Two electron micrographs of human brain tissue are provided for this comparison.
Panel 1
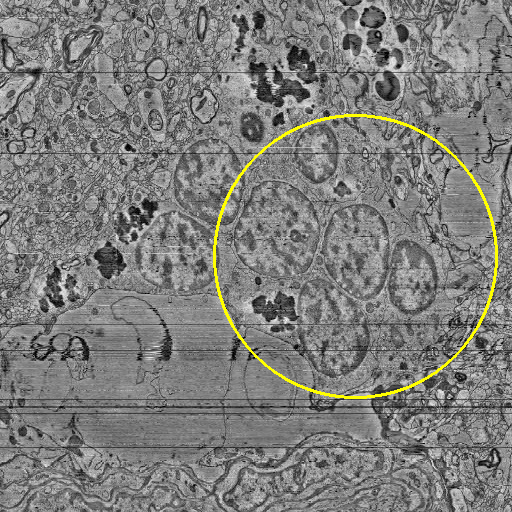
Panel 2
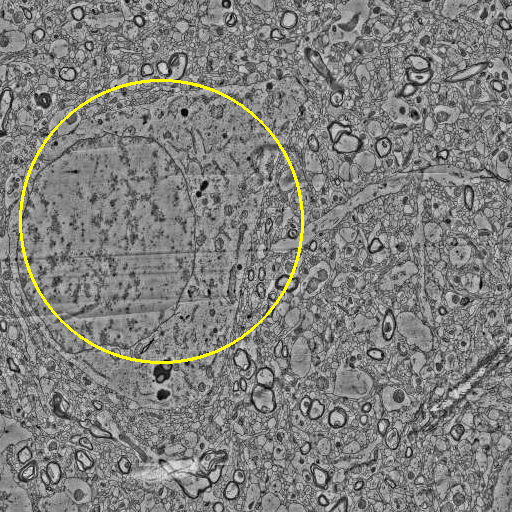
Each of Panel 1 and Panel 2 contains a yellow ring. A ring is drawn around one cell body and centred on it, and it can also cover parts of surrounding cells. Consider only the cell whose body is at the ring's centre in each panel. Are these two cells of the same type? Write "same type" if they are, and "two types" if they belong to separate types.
two types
